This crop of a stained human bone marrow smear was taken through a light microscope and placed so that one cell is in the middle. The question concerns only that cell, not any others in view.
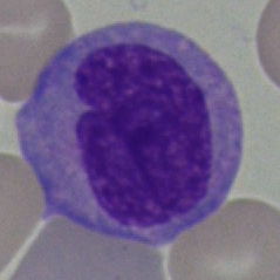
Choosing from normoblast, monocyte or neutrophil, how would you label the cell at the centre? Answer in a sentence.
The centrally positioned cell in the crop represents a monocyte.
